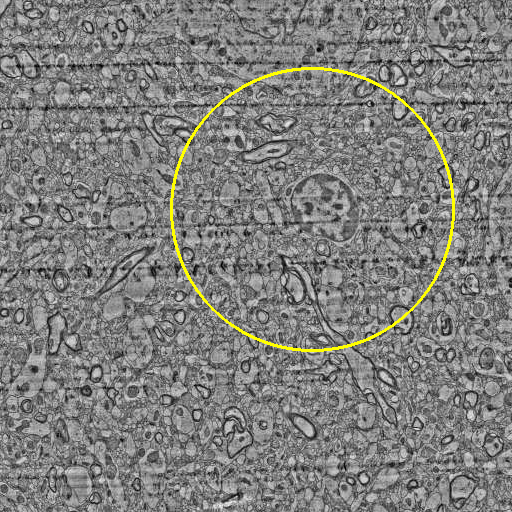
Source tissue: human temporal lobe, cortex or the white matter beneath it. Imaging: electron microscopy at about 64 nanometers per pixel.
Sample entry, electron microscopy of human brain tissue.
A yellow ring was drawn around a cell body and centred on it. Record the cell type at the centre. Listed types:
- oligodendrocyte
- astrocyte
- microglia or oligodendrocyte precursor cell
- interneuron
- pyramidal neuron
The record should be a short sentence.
The cell at the ring's centre is a microglial cell or oligodendrocyte precursor cell.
